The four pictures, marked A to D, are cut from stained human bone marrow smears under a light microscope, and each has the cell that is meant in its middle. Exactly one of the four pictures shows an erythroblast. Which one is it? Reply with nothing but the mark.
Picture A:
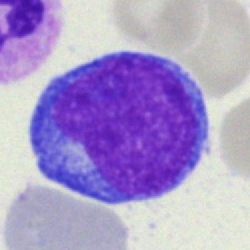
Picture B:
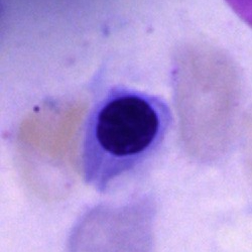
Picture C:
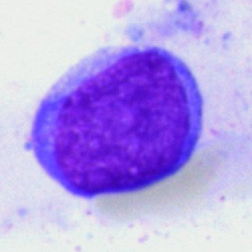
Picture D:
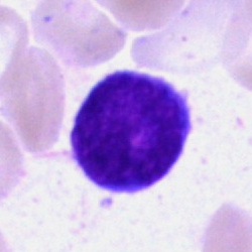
B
